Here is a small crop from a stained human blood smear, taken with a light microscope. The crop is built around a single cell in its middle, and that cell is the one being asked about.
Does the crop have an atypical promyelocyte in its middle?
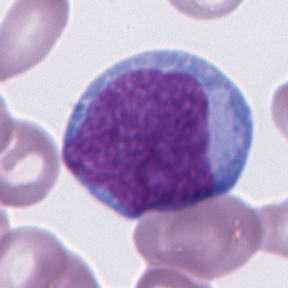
no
